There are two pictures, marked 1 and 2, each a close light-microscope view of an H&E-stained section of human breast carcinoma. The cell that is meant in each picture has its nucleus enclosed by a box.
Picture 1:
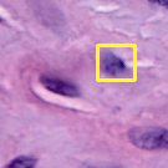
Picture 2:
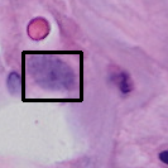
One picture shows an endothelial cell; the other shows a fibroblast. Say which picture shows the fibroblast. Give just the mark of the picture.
1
